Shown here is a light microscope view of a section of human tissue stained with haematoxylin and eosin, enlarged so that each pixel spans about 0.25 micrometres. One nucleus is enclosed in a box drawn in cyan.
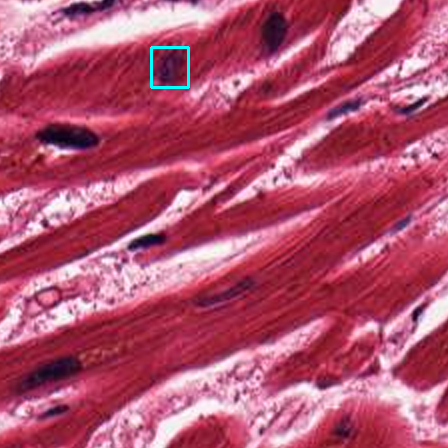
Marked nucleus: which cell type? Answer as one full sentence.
The marked nucleus here is the nucleus of a cardiomyocyte.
